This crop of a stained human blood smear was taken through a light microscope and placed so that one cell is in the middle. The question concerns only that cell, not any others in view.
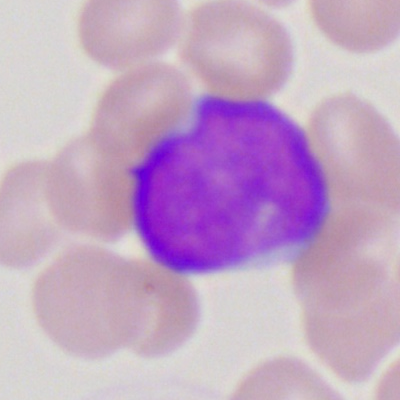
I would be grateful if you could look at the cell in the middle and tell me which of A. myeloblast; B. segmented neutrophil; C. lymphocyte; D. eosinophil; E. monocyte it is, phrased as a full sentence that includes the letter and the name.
The cell in the middle is a myeloblast, and that makes option A correct.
